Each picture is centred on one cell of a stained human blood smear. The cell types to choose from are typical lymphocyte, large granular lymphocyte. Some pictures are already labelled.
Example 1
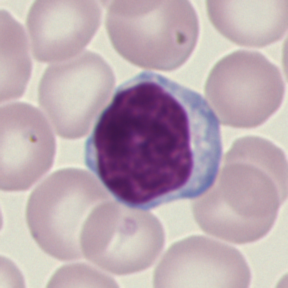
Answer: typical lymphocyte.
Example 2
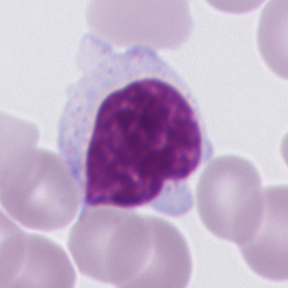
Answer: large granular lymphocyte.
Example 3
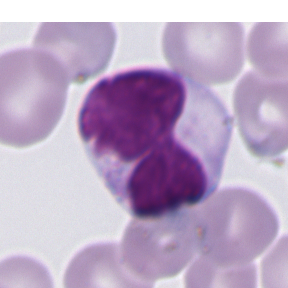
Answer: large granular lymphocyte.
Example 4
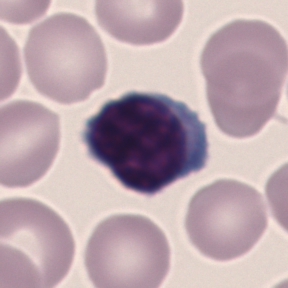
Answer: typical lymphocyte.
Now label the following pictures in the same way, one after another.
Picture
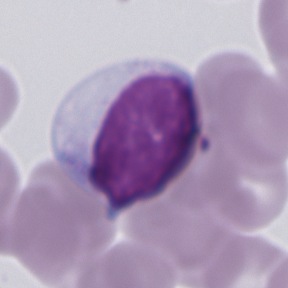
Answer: large granular lymphocyte.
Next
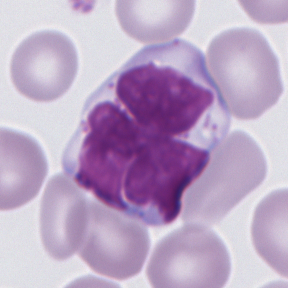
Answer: large granular lymphocyte.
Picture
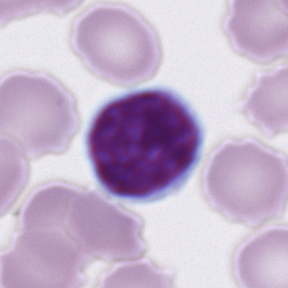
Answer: typical lymphocyte.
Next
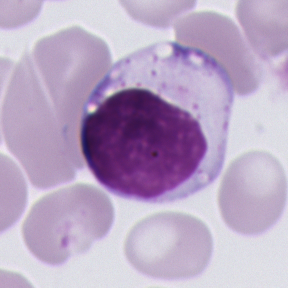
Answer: large granular lymphocyte.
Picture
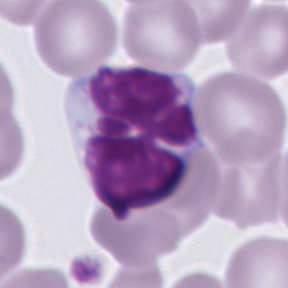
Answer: large granular lymphocyte.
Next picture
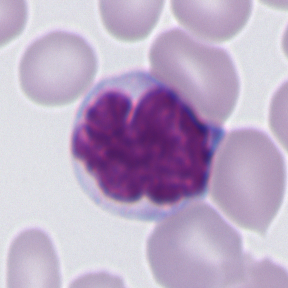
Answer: large granular lymphocyte.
